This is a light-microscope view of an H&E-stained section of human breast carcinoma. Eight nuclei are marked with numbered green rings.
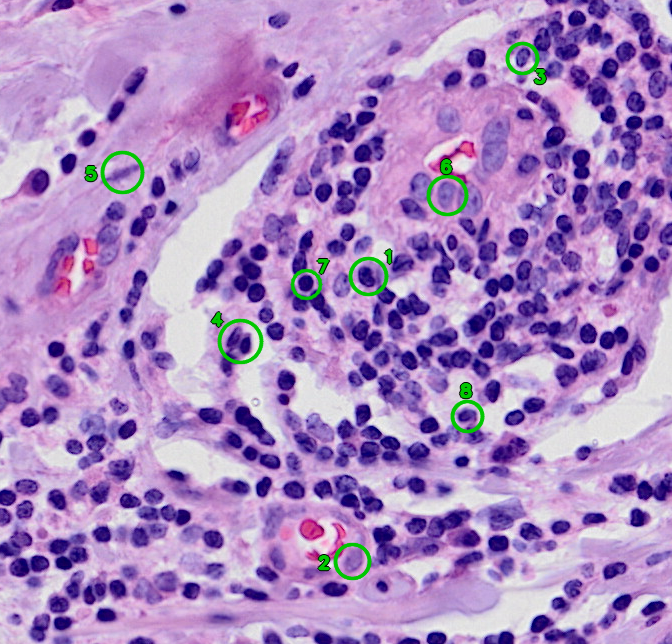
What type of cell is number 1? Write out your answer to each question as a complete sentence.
Nucleus 1 in this section belongs to a lymphocyte.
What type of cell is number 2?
Cell 2 of the marked set is an endothelial cell.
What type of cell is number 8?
Here the cell numbered 8 is a lymphocyte.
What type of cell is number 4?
Identified by the number 4, the cell is a lymphocyte.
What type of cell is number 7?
At number 7, the marked cell is a lymphocyte.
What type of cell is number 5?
Cell 5 of the marked set is a fibroblast.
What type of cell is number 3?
The cell marked with the number 3 is a lymphocyte.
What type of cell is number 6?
The cell that goes by number 6 is an endothelial cell.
